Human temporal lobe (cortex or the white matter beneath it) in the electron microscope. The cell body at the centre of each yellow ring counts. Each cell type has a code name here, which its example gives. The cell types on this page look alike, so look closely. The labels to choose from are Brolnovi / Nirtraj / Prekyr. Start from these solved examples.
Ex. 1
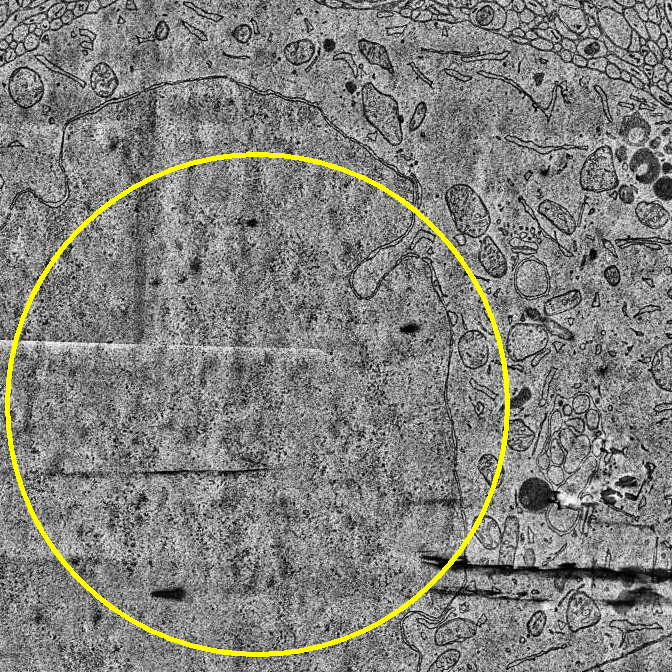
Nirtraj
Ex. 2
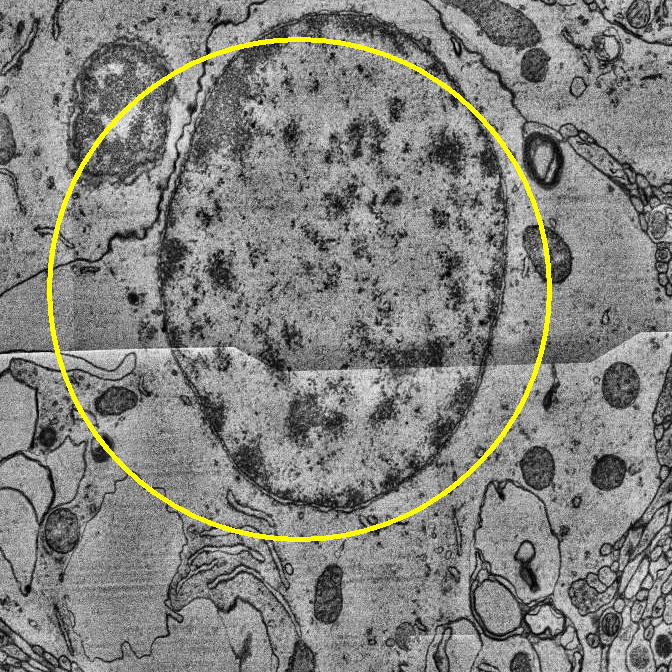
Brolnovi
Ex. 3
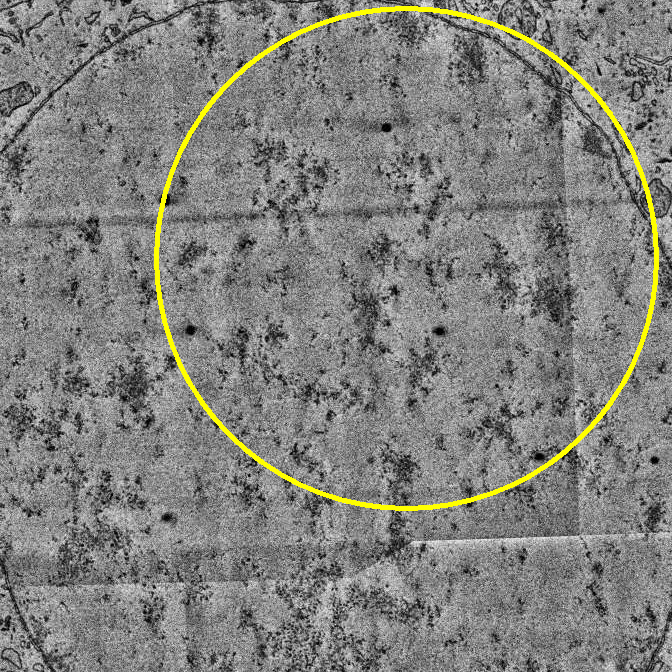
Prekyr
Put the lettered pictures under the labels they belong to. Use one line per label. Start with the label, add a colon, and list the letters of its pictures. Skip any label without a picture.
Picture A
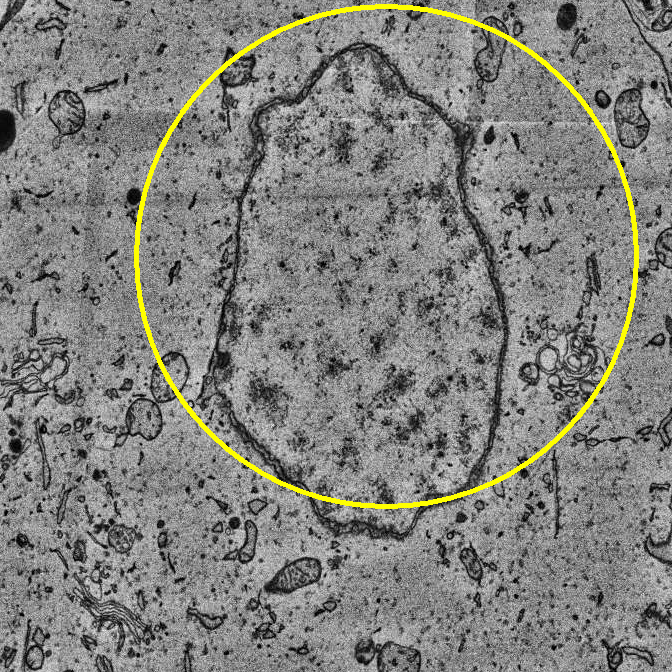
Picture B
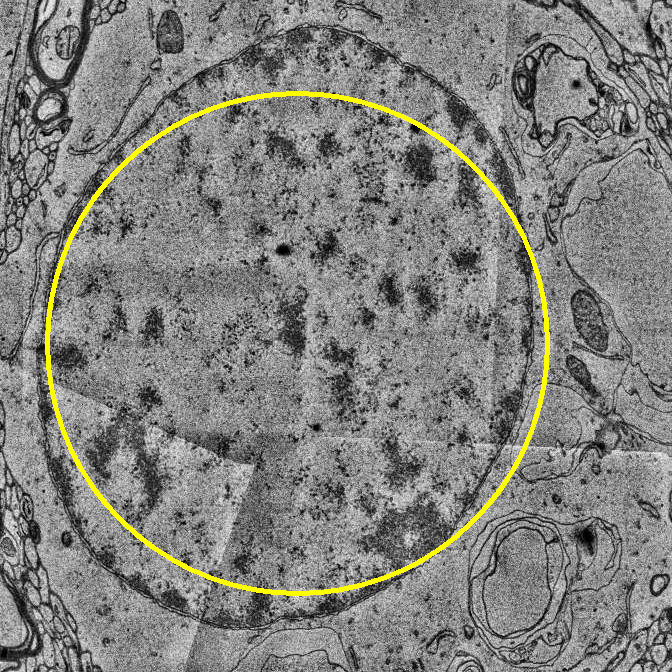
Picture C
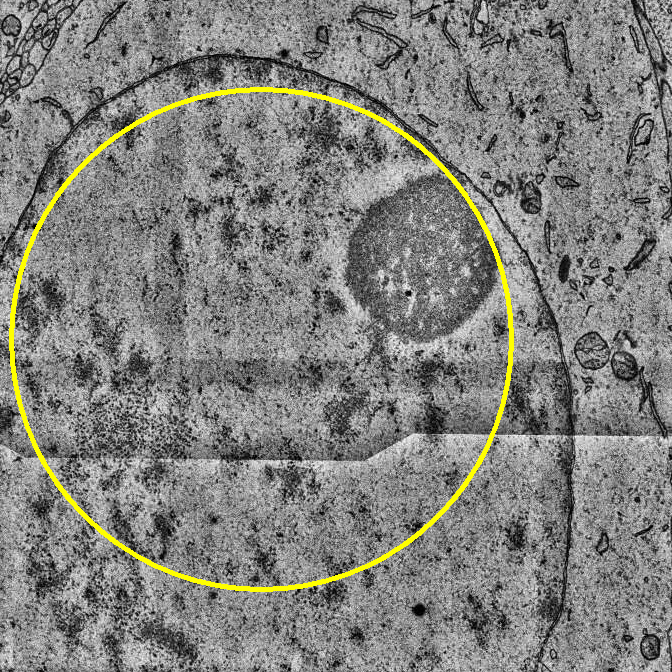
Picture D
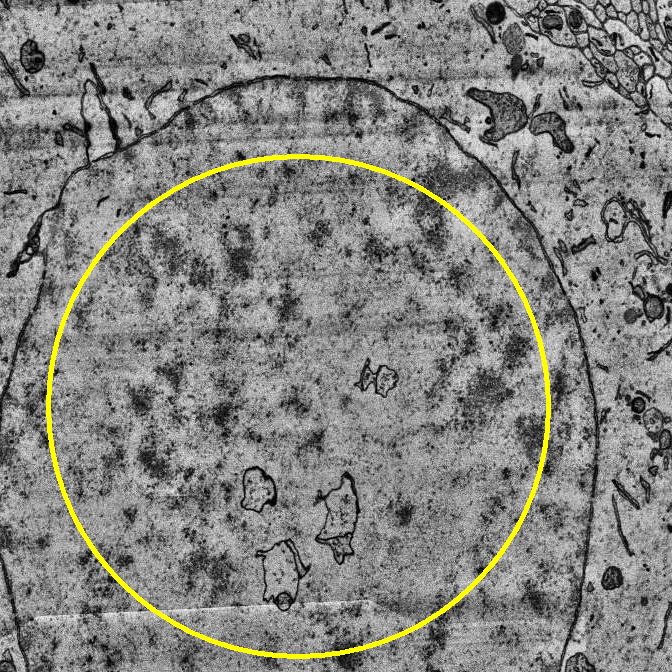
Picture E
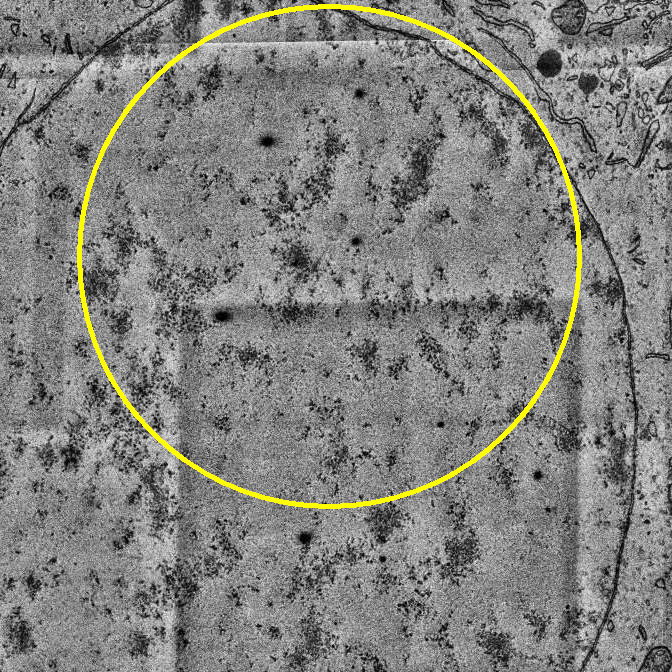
Brolnovi: B
Prekyr: A, C, D, E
